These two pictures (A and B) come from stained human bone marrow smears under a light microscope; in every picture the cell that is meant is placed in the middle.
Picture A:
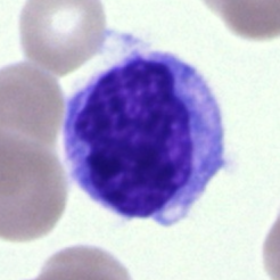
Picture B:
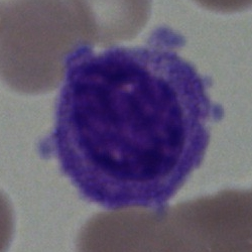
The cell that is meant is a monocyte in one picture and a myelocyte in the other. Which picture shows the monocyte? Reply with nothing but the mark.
A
